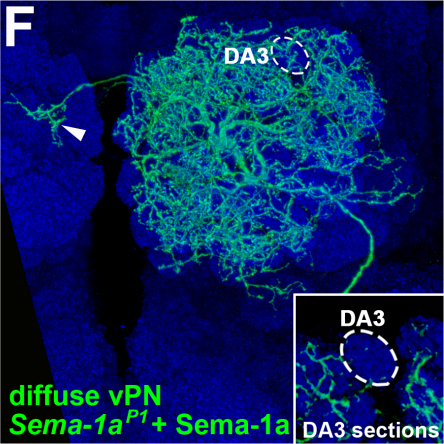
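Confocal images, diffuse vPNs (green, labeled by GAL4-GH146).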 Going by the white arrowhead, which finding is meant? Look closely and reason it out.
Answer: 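Aberrant midline-crossing dendrites. Green branches extend leftward out of the main labelled neuropil. The branches marked by the arrowhead lie across a dark gap on the medial side.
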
